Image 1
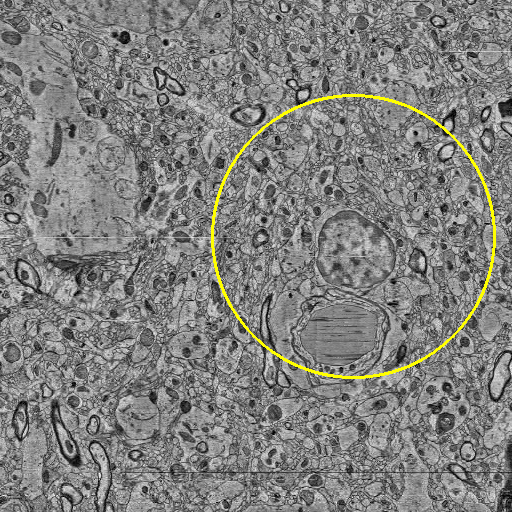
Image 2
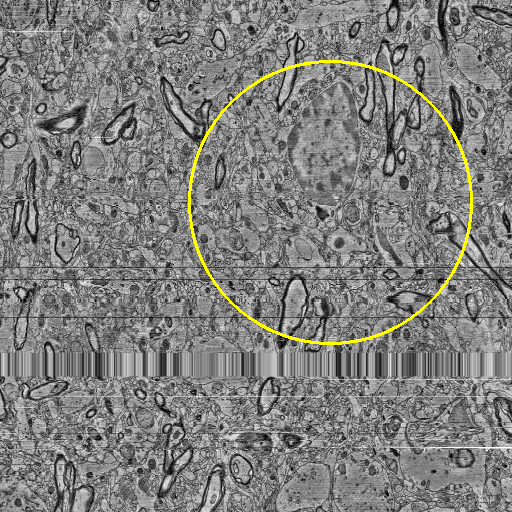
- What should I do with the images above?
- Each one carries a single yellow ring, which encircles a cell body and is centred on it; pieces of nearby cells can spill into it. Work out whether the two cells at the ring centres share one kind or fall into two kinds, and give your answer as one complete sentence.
The ring-centre cells of Image 1 and Image 2 share one kind.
